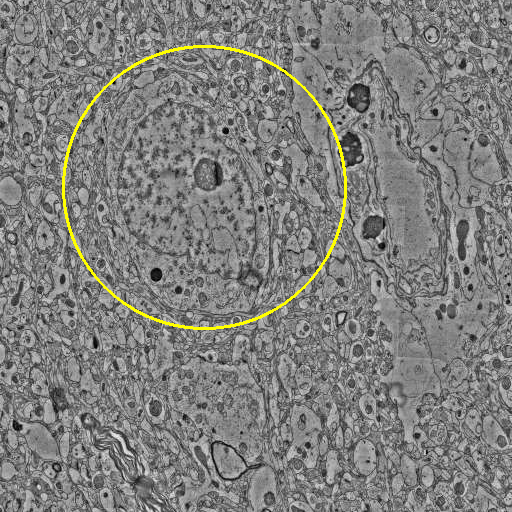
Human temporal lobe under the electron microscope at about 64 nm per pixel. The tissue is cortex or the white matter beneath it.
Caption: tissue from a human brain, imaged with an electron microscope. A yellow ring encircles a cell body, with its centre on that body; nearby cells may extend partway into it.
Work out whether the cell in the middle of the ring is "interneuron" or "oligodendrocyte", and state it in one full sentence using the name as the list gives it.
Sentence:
In the picture, the cell that the yellow ring surrounds at its centre is an interneuron.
